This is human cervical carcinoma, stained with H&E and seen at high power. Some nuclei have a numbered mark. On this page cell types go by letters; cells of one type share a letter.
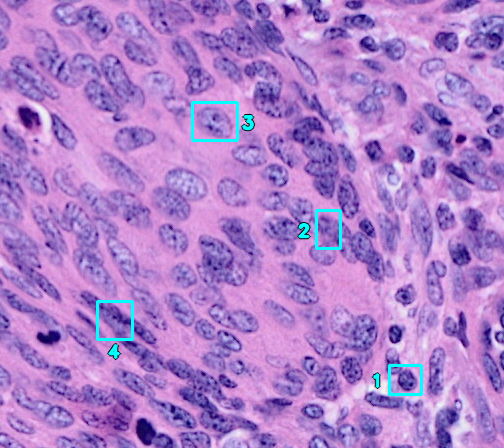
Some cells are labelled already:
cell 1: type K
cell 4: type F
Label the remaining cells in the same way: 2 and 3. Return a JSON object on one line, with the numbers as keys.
{"2": "type F", "3": "type F"}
